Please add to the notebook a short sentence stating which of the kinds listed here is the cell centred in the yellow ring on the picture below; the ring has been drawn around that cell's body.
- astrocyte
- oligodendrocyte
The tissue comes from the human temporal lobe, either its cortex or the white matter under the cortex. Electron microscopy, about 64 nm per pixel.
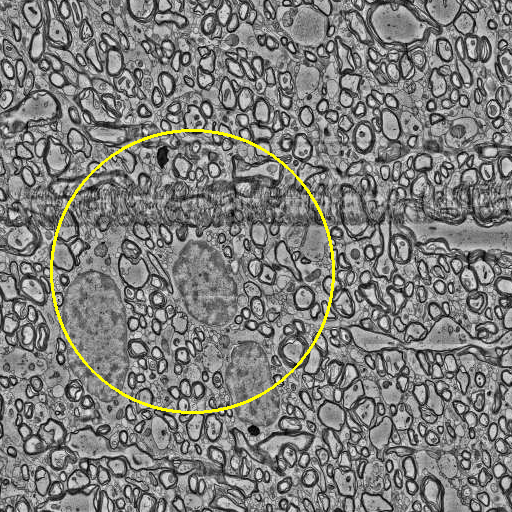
The cell centred in the yellow ring is an oligodendrocyte.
